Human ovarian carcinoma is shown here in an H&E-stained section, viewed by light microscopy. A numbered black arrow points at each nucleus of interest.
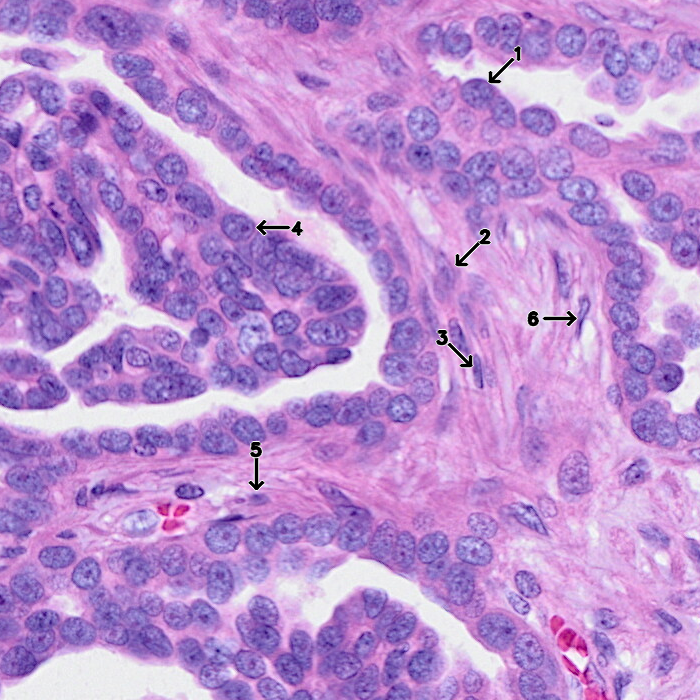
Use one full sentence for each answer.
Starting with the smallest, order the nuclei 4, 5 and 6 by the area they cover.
From smallest to largest, the order is 5, 6, 4.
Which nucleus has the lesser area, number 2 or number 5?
Nucleus 5 covers less area, with nucleus 2 about 4 times as large.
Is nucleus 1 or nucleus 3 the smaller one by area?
Nucleus 3 covers less area, with nucleus 1 about 3 times as large.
